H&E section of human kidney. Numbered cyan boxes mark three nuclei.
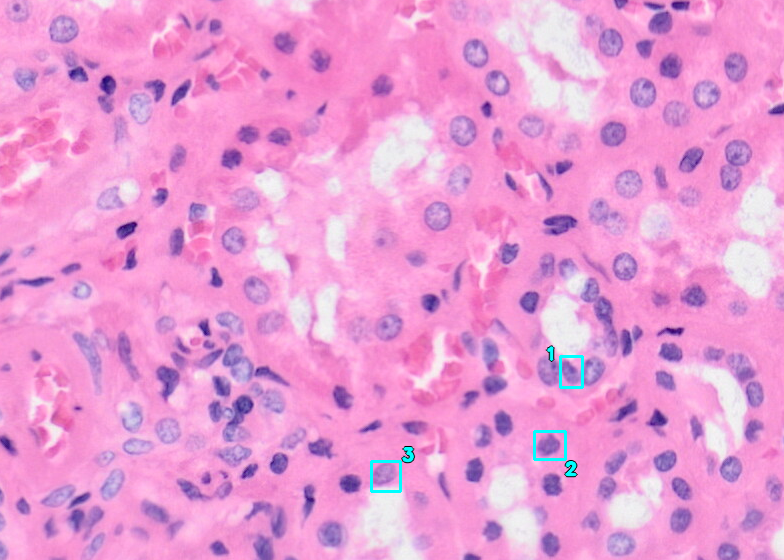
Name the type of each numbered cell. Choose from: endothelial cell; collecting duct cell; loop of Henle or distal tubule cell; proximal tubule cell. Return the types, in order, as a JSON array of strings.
["collecting duct cell", "loop of Henle or distal tubule cell", "loop of Henle or distal tubule cell"]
